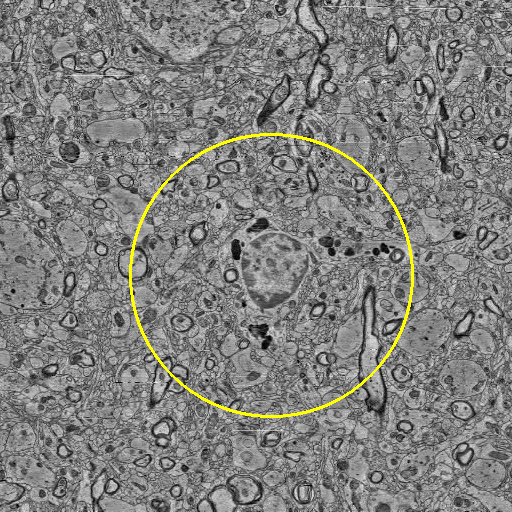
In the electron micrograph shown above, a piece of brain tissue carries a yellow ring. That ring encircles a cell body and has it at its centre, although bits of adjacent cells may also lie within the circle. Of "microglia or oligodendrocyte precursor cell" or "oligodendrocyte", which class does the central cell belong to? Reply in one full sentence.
The cell body at the centre of the yellow ring belongs to a microglial cell or oligodendrocyte precursor cell.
